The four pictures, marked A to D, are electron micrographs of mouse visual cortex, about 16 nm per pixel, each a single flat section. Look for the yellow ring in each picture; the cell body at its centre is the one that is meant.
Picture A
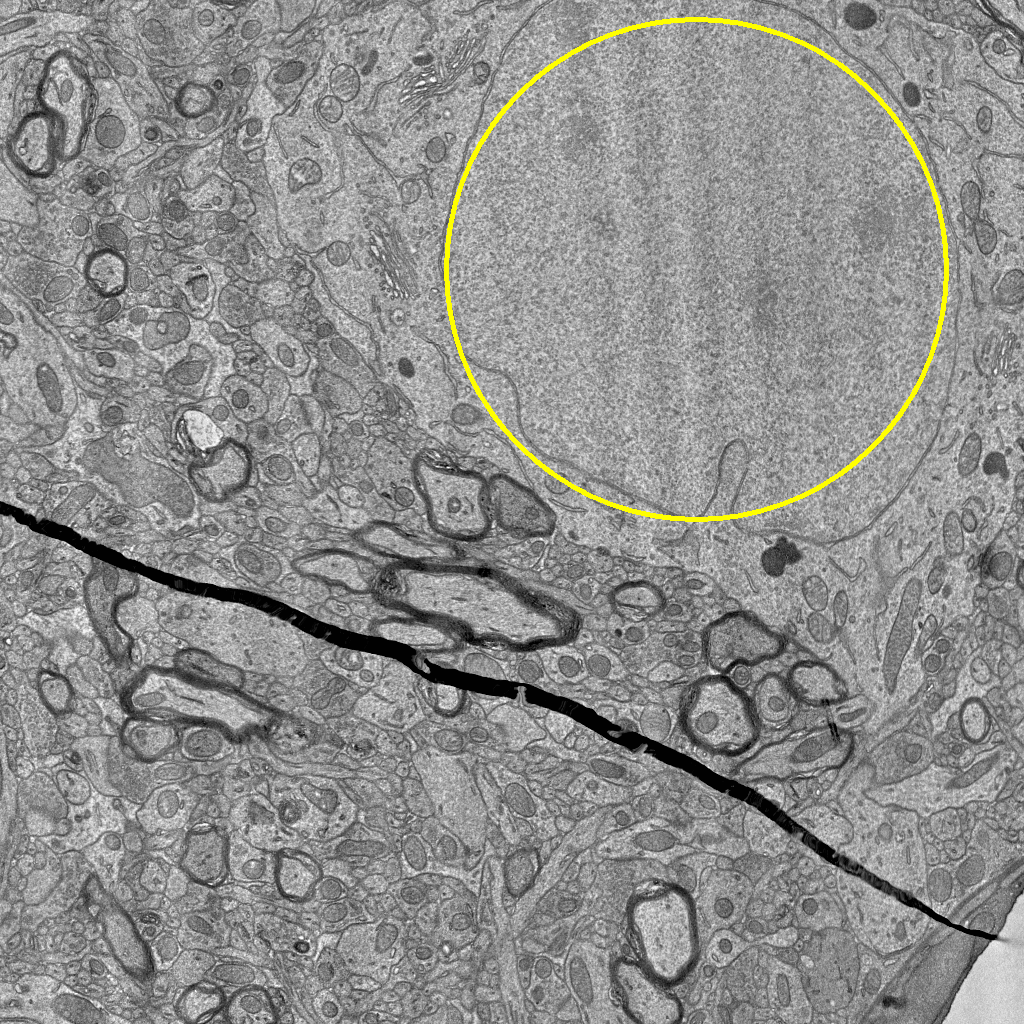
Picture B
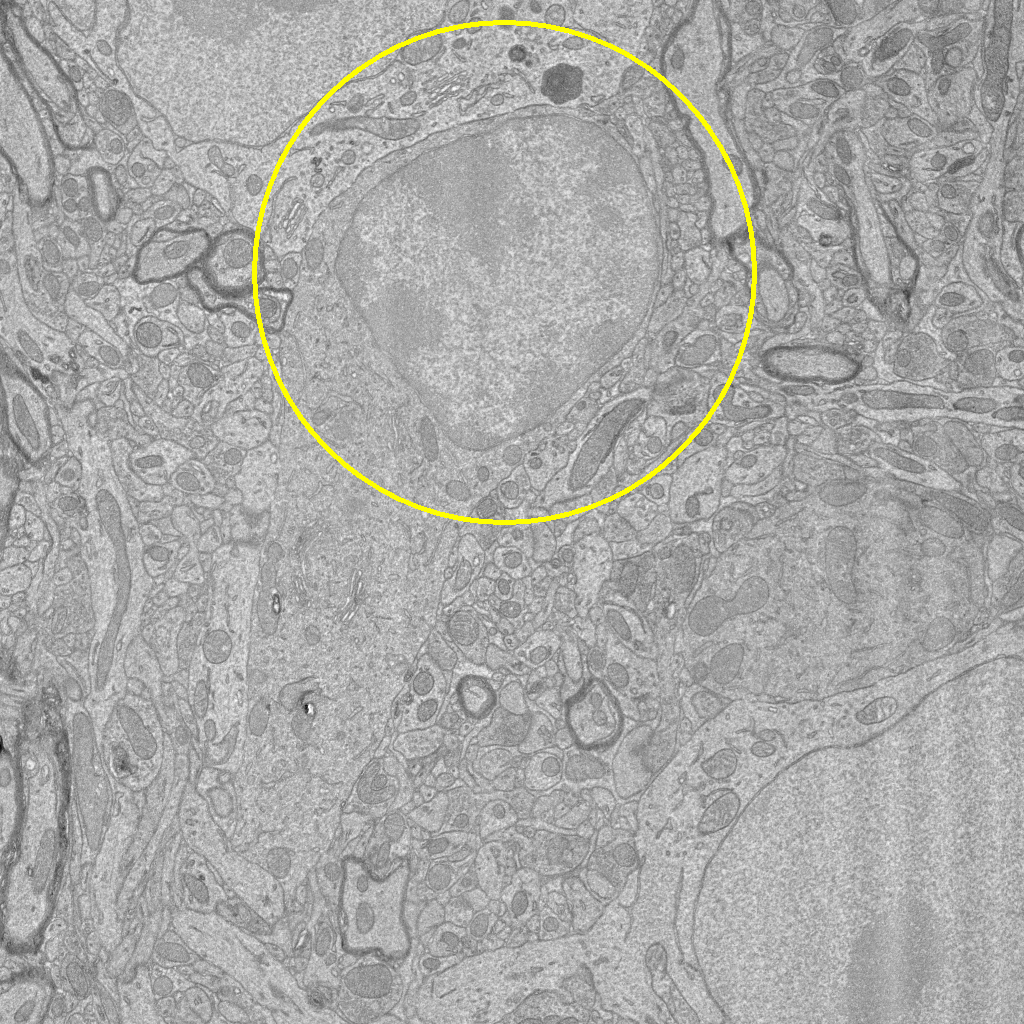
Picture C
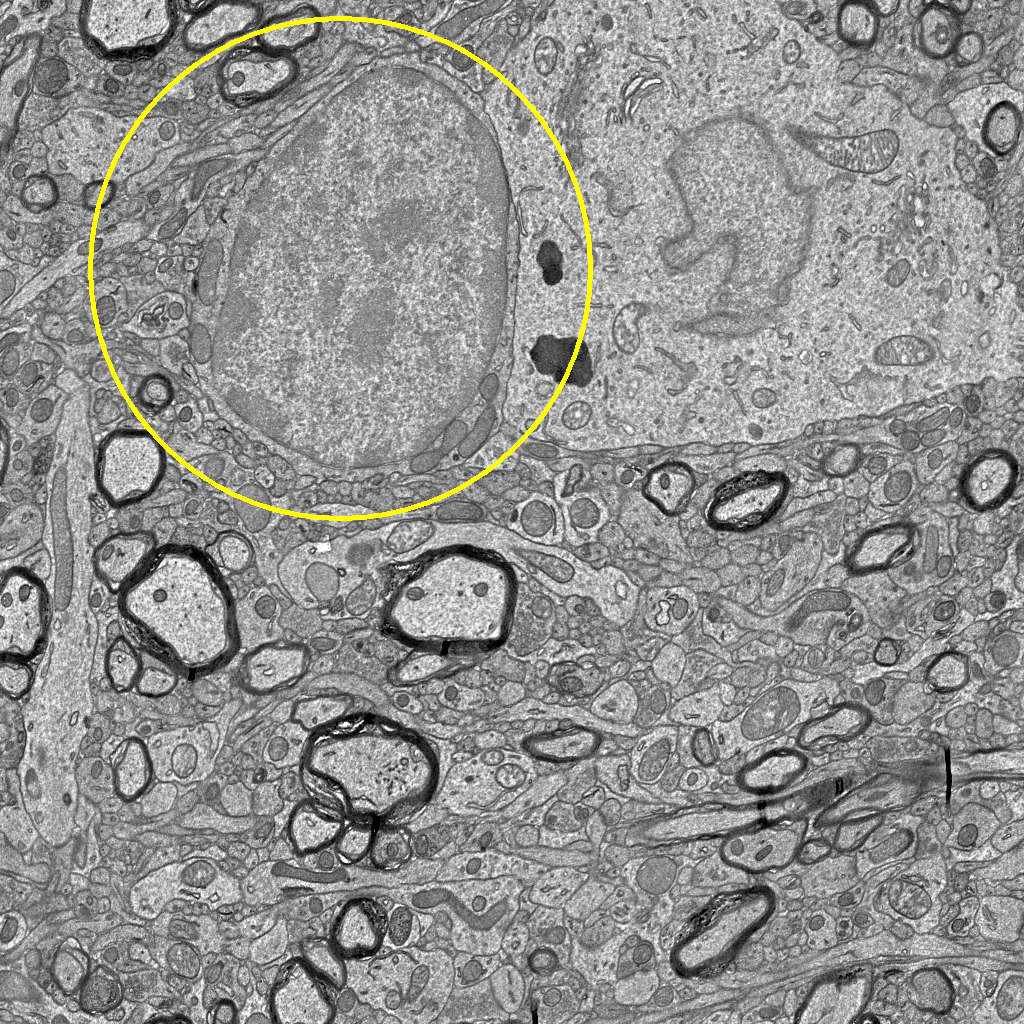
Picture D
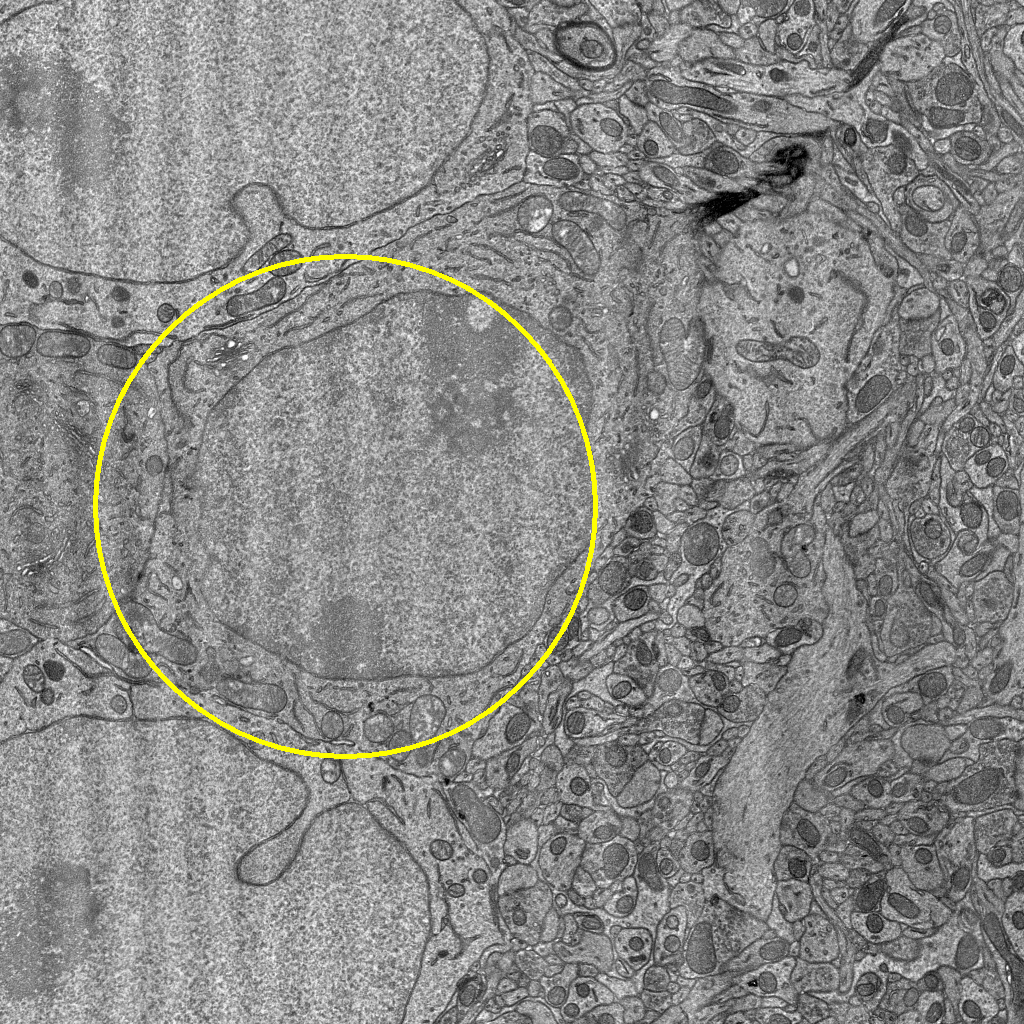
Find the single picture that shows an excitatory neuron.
The picture with the excitatory neuron is A.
